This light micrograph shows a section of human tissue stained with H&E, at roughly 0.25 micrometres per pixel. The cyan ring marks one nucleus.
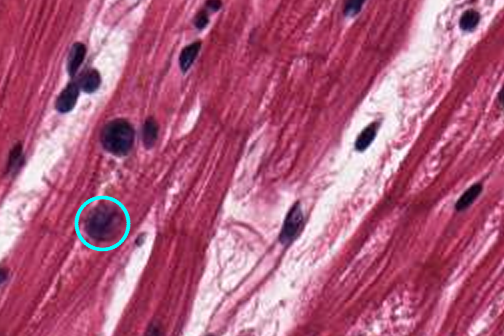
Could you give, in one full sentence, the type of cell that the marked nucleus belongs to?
The nucleus that has been marked belongs to a cardiomyocyte.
